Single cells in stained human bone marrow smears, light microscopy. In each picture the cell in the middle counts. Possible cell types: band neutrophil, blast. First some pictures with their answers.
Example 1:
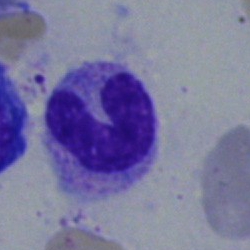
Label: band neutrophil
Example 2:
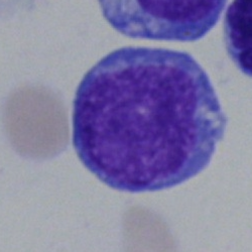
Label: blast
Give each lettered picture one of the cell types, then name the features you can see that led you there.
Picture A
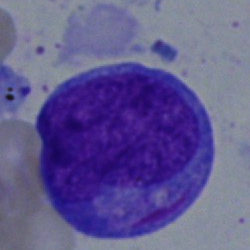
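blast. The cytoplasm is blue and forms a thin rim that is widest below the nucleus.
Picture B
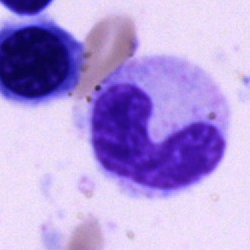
band neutrophil. The cytoplasm is plentiful and pale lilac.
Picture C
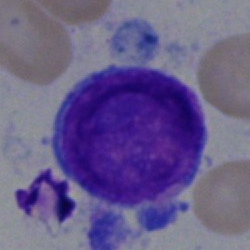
blast. The cytoplasm forms only a thin rim around the nucleus.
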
